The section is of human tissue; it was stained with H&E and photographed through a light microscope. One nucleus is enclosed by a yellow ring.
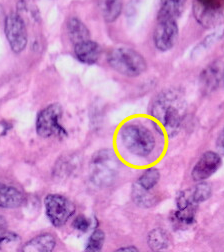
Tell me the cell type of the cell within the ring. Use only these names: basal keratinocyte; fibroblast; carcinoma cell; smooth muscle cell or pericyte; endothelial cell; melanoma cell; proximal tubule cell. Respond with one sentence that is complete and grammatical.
In this section of tissue, the cell within the ring is a melanoma cell.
